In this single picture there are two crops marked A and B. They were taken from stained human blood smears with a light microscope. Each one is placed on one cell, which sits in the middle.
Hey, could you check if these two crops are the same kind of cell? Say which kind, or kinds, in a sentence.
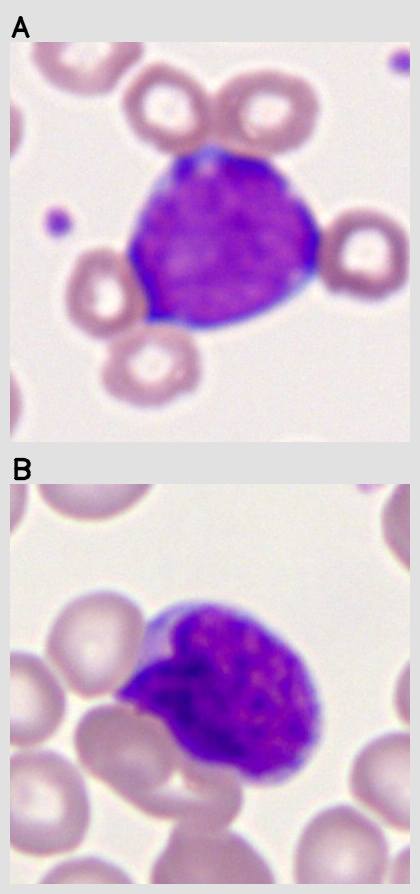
Yes, both of the crops show blasts.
